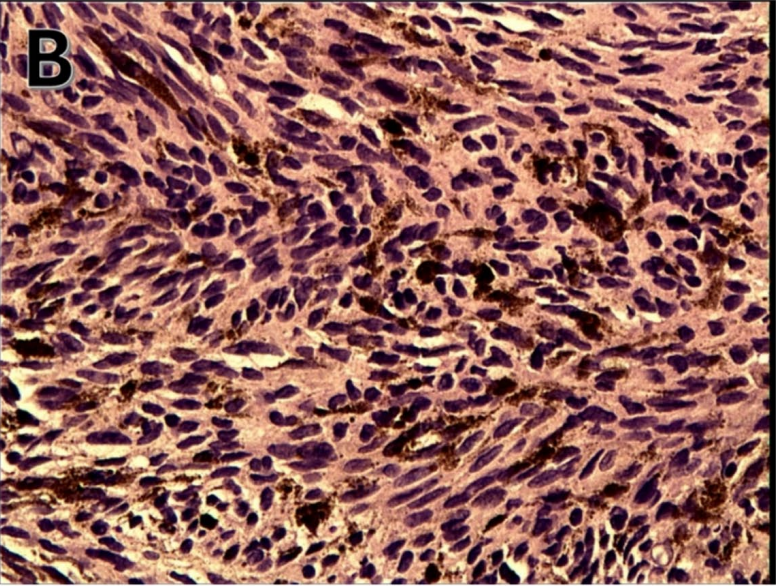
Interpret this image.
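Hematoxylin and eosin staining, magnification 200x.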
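Malignant melanocytes fill the field as a crowded sheet of spindle-shaped to oval cells running in loose streams. Their nuclei are dark purple, elongated to ovoid, and vary in size and shape, with many crowded and overlapping. The cytoplasm is pale pink and poorly outlined, and coarse brown to black granules of pigment gather in clumps between and over the cells.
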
